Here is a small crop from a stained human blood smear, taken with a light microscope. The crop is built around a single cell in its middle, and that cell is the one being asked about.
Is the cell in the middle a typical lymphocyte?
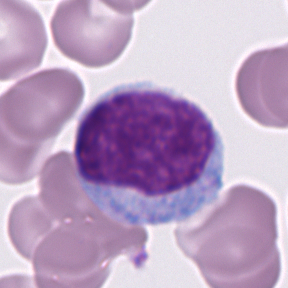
yes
